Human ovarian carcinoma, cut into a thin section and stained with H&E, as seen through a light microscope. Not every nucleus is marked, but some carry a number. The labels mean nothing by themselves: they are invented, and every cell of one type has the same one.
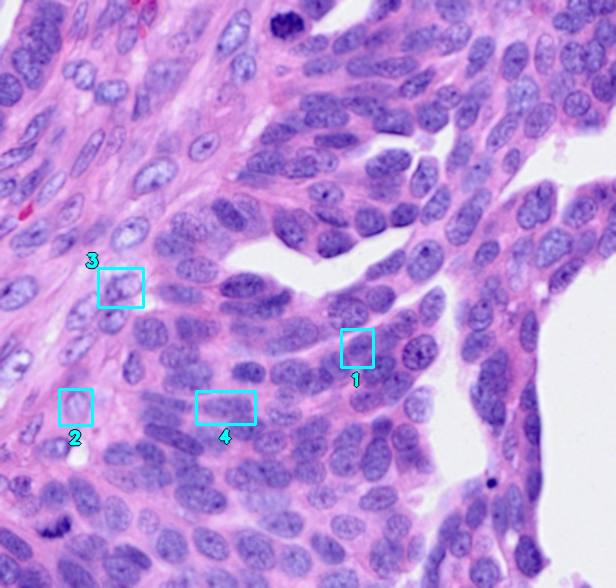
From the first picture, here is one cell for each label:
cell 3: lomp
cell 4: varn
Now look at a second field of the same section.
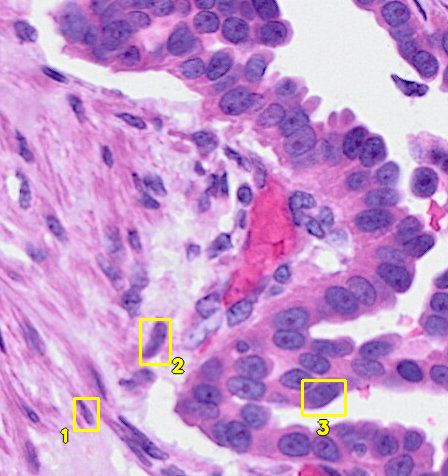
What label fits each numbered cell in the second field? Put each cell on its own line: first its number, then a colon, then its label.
1: lomp
2: lomp
3: varn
